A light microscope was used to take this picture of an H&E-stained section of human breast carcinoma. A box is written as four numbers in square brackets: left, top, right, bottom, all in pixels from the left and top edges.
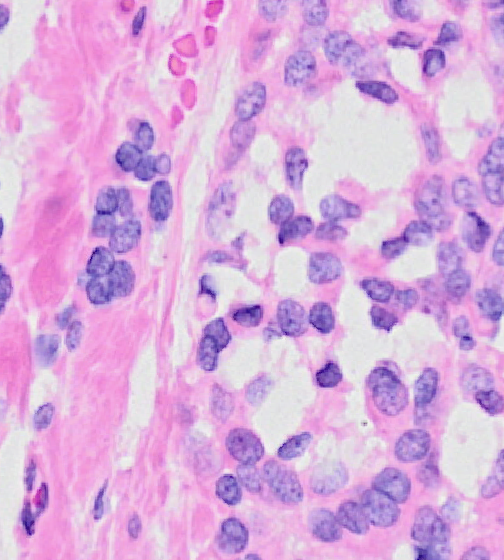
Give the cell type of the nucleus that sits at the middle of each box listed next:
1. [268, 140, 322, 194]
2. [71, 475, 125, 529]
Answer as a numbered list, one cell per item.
1. carcinoma cell
2. fibroblast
